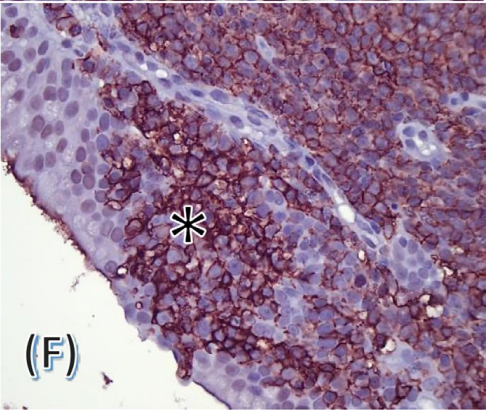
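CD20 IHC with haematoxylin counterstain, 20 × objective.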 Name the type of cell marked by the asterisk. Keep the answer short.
Epitheliotropic B cells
